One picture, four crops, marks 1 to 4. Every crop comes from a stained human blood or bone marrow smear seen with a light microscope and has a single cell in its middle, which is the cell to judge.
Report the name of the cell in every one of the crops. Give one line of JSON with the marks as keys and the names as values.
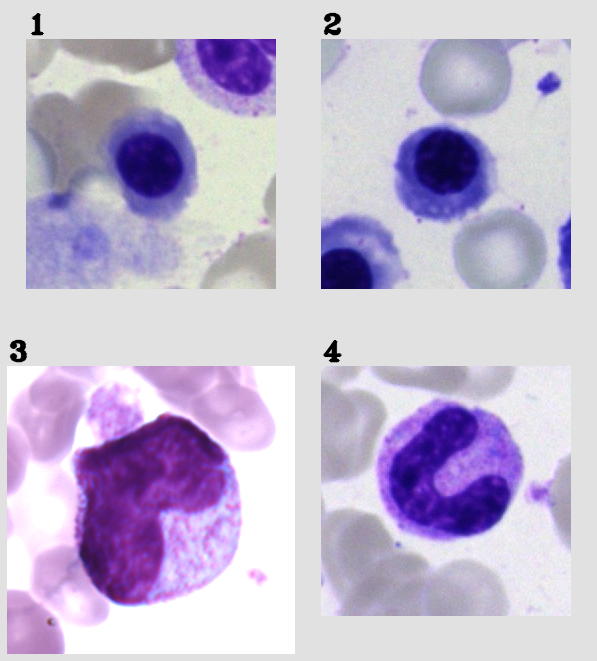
{"1": "normoblast", "2": "normoblast", "3": "band neutrophil", "4": "band neutrophil"}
